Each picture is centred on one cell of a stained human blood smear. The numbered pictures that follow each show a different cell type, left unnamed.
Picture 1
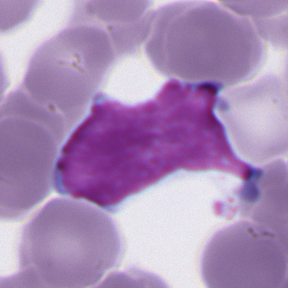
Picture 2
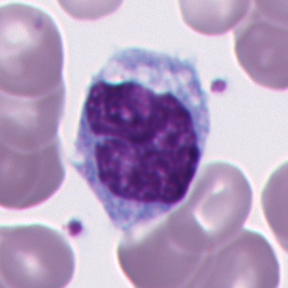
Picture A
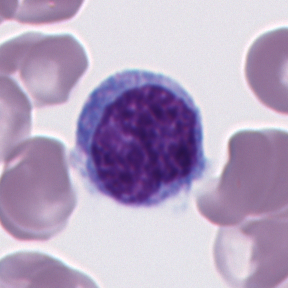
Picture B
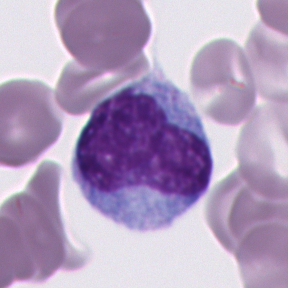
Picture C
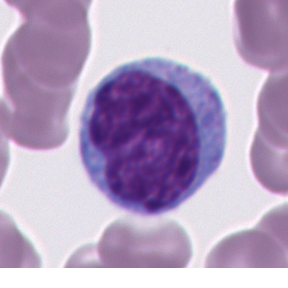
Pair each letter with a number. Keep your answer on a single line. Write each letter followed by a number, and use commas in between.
A 2, B 2, C 2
